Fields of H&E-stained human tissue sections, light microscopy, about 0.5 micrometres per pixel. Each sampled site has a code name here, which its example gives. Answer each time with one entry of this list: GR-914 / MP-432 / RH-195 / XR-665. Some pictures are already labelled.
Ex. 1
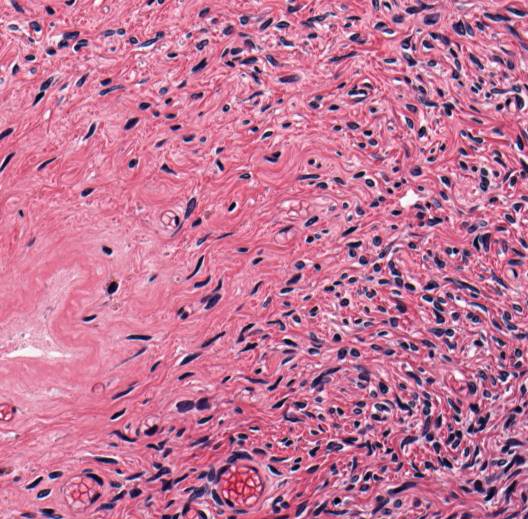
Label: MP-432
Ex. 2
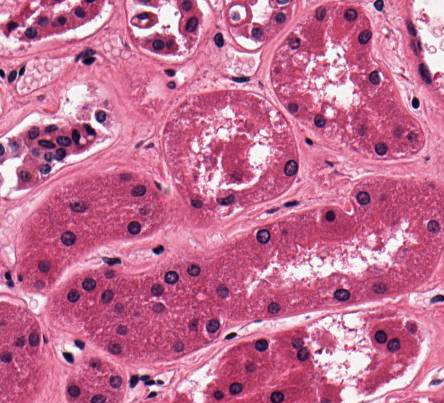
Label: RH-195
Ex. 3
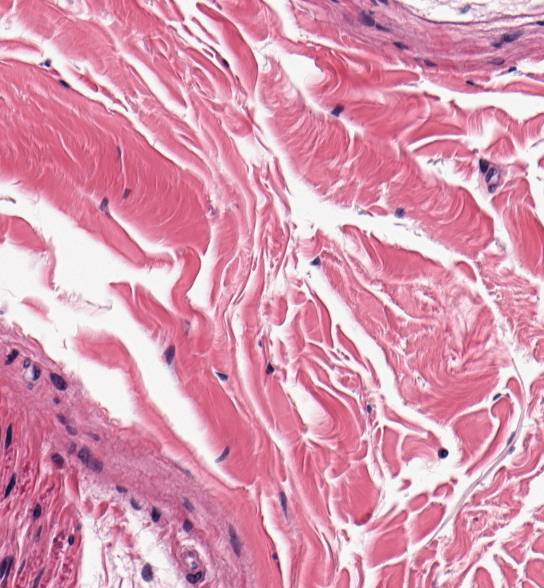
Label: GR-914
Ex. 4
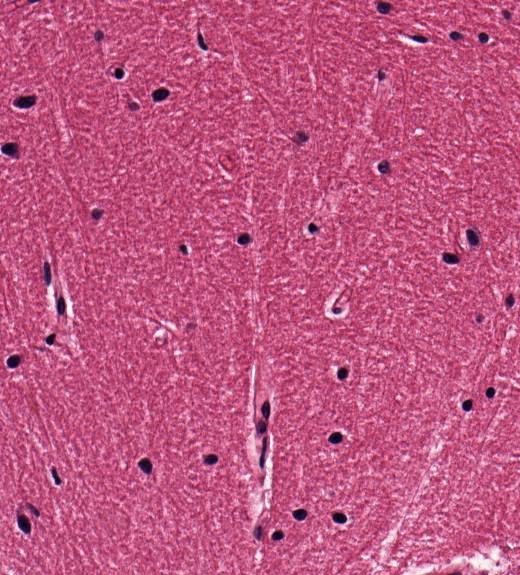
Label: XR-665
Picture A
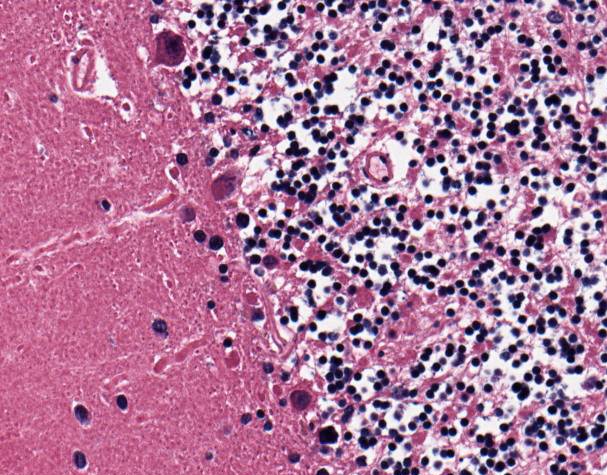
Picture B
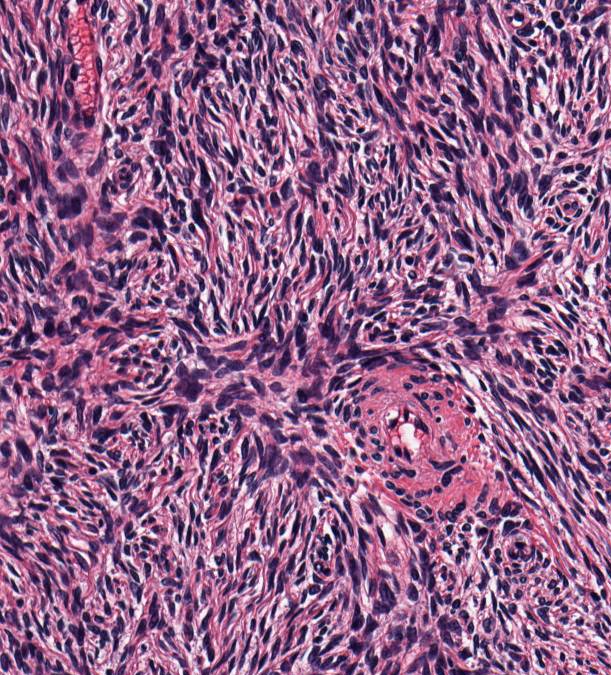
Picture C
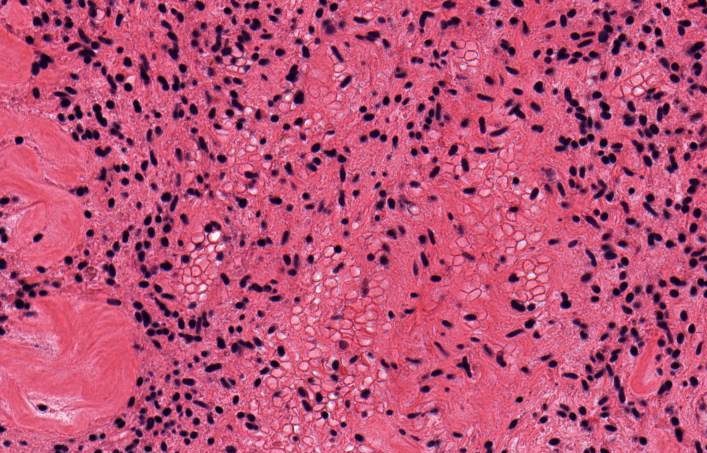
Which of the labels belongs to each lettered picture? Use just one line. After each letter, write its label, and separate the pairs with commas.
A XR-665, B MP-432, C MP-432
